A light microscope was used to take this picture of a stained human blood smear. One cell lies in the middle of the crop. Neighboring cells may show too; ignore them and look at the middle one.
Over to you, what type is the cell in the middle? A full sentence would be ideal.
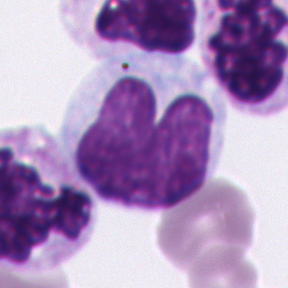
Here the cell in the middle is a monocyte.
